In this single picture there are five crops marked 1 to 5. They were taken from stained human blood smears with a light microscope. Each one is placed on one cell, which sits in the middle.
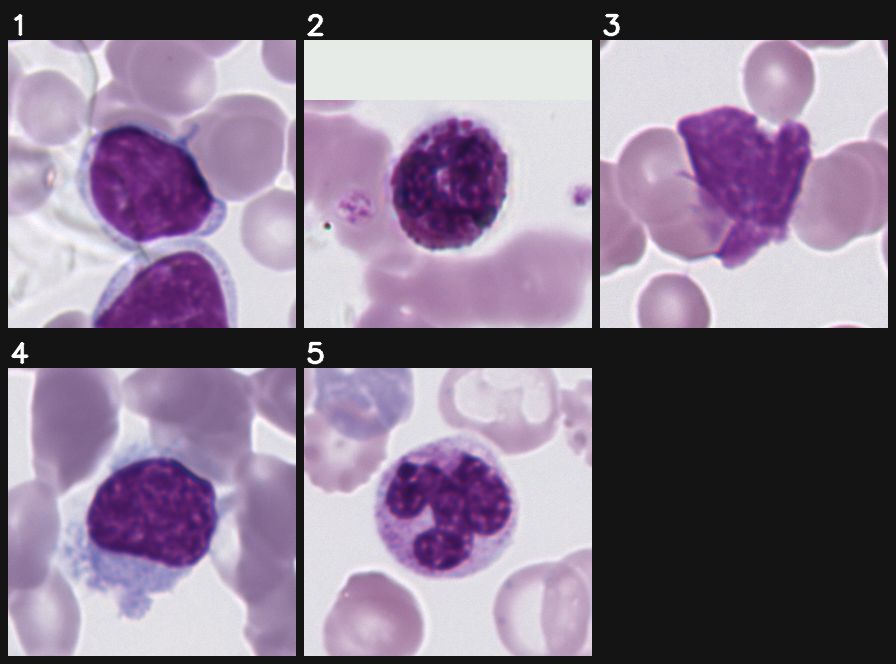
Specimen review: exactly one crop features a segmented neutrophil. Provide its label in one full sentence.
Crop 5 shows a segmented neutrophil, and no other crop does.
